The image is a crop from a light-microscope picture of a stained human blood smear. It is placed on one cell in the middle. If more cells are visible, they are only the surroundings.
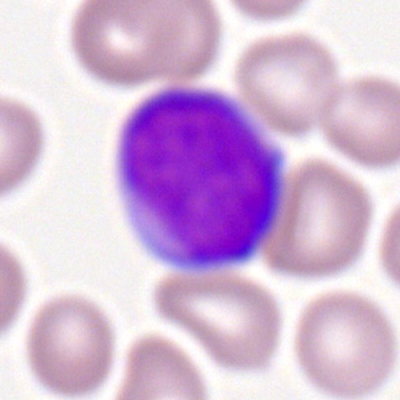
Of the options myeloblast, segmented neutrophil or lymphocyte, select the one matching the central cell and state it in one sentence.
Here the cell in the middle is a myeloblast.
